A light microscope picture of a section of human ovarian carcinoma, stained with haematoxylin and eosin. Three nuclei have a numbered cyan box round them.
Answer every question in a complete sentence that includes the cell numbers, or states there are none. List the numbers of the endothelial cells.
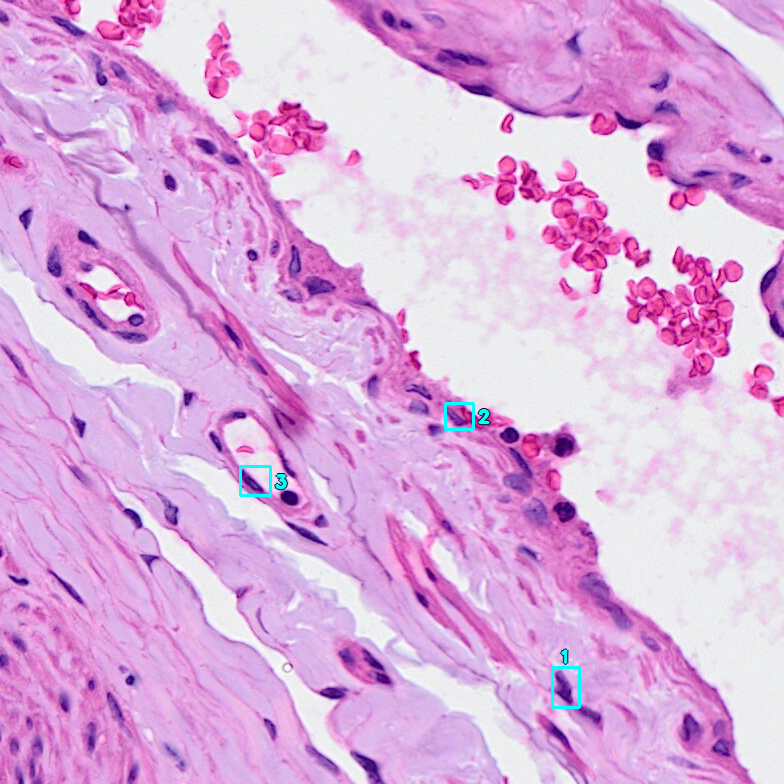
The cells that have numbers 2 and 3 are endothelial cells.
